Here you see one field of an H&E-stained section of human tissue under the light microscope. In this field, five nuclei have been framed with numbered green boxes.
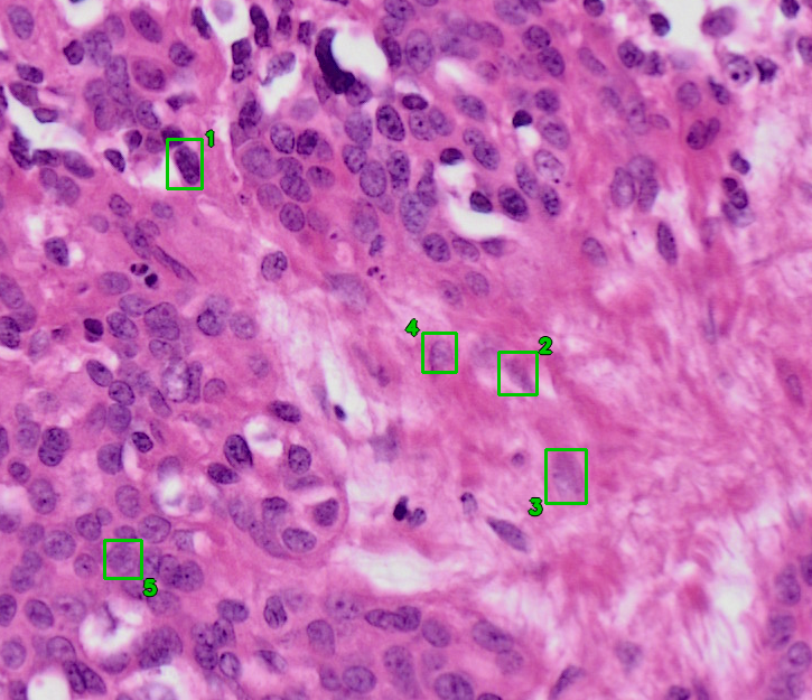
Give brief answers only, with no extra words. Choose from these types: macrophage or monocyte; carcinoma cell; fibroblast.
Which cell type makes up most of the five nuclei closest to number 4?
fibroblast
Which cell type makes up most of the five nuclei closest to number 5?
carcinoma cell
